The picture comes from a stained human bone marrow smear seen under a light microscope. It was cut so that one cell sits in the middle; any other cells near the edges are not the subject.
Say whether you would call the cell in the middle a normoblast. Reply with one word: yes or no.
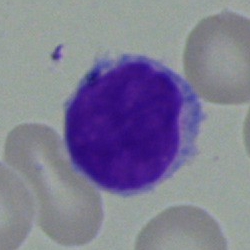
no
